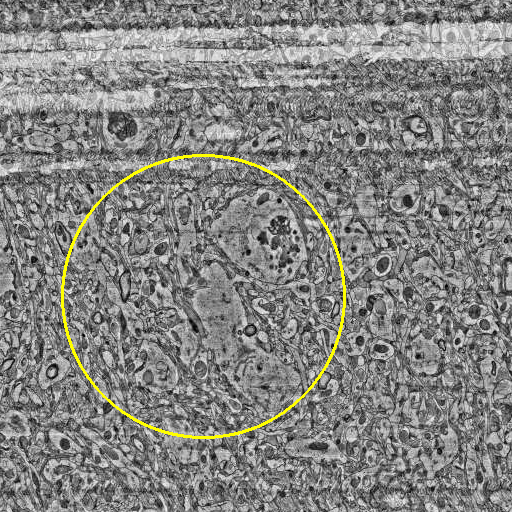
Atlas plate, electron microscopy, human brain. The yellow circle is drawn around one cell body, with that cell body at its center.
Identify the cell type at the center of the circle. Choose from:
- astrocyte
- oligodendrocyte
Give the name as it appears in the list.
astrocyte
